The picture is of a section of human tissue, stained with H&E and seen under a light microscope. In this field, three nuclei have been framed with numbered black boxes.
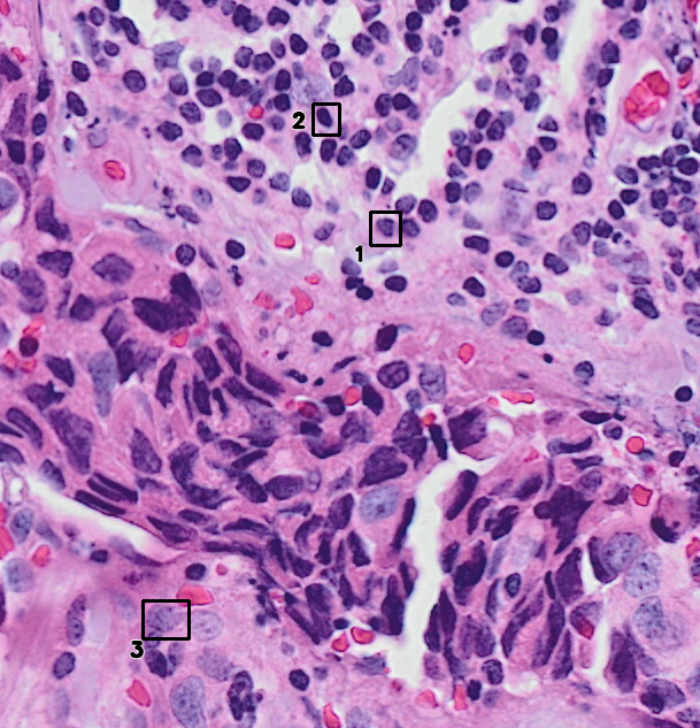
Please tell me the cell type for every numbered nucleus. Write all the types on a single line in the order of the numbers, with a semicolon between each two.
lymphocyte; lymphocyte; endothelial cell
